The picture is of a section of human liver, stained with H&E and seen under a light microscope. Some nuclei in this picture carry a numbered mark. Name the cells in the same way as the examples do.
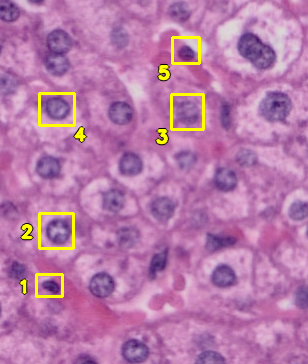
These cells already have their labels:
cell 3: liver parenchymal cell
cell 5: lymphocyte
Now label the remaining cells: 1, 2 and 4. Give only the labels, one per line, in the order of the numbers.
lymphocyte
liver parenchymal cell
liver parenchymal cell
